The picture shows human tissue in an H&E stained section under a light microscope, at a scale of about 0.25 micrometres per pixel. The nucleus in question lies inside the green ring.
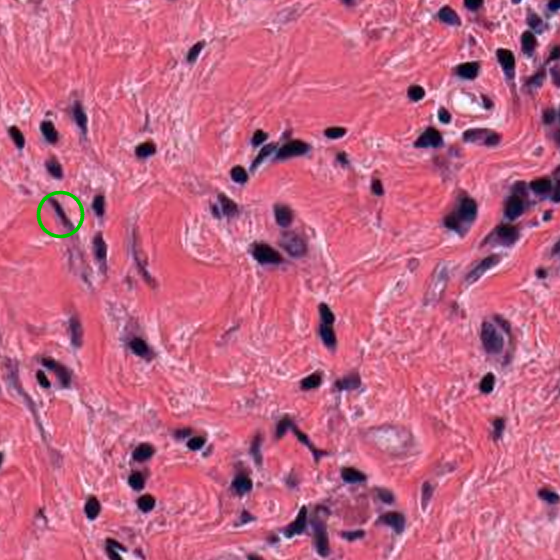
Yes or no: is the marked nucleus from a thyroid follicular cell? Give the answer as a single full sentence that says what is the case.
No, it is not a thyroid follicular cell but a supporting cell to which the marked nucleus is assigned.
